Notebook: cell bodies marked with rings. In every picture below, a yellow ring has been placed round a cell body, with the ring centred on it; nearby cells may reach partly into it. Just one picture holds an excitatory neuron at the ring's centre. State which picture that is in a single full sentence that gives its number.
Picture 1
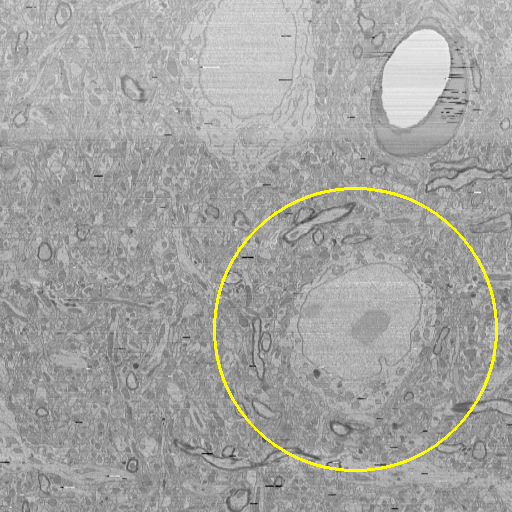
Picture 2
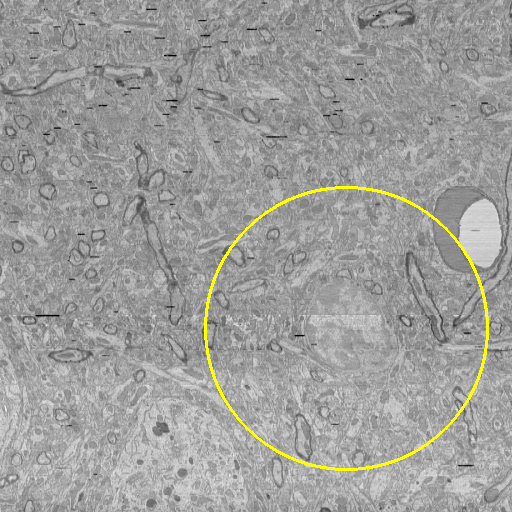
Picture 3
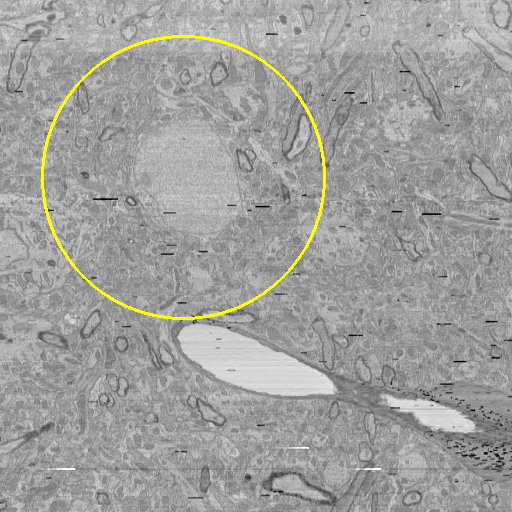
It is picture 1 whose ring has the wanted cell right at its centre.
